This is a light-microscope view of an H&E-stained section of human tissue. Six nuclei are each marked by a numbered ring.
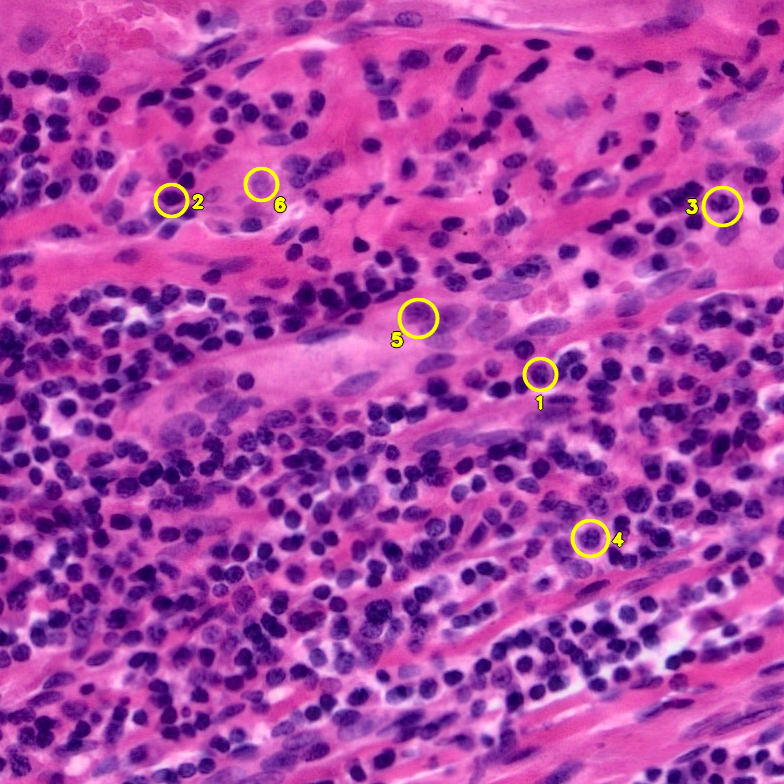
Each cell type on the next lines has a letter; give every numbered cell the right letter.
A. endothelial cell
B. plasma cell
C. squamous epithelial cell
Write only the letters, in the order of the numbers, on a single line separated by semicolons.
B; B; B; B; A; A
